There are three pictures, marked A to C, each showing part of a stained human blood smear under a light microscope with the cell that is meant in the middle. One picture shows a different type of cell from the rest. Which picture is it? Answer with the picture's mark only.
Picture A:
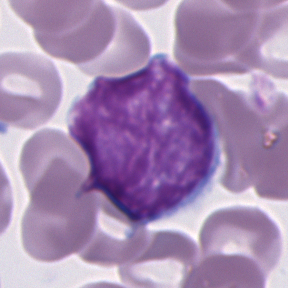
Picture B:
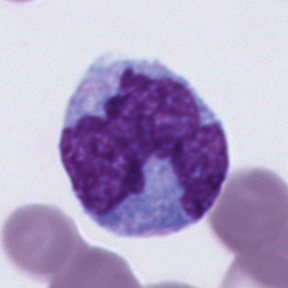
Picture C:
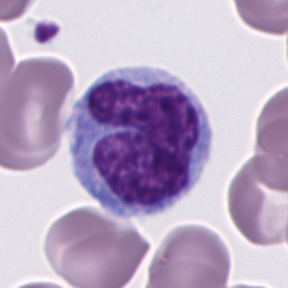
A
